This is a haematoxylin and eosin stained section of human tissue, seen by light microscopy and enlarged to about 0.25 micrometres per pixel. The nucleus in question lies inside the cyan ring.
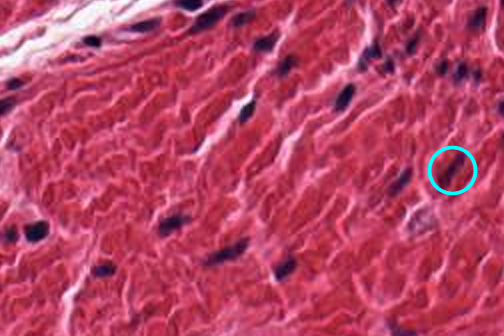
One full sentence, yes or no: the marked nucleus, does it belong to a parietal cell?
No, the marked nucleus is not enclosed by a parietal cell.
